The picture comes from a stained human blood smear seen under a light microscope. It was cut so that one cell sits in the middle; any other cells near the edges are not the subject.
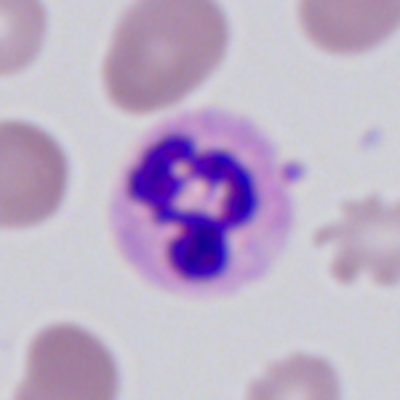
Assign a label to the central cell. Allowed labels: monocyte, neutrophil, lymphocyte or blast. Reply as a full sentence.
By type, the central cell of the crop is a neutrophil.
